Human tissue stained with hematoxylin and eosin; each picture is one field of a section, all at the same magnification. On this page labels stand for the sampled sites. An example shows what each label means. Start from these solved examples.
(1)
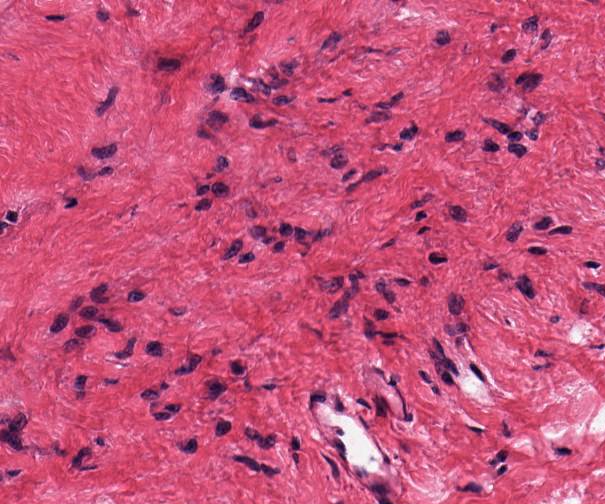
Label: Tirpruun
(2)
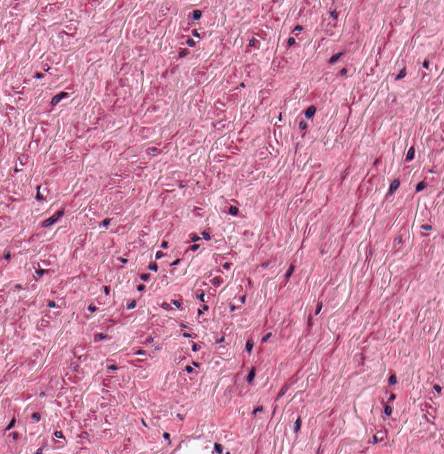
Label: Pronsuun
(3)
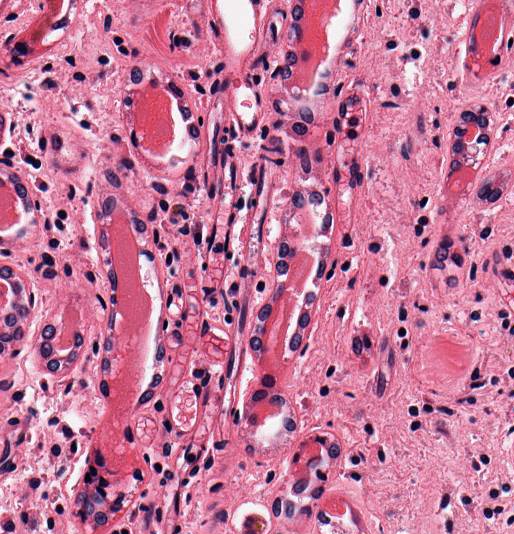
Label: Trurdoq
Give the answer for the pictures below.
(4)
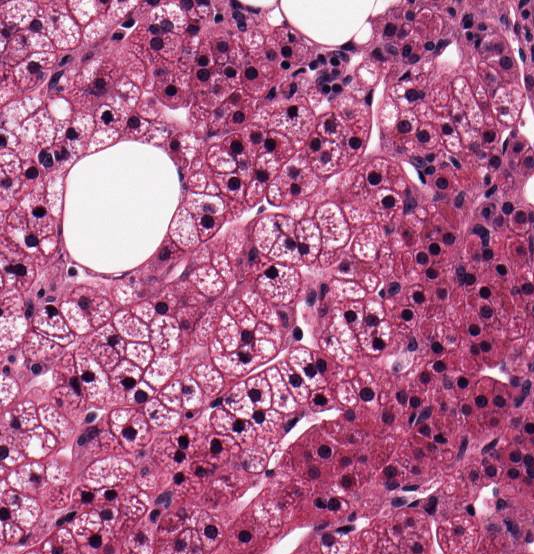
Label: Tirpruun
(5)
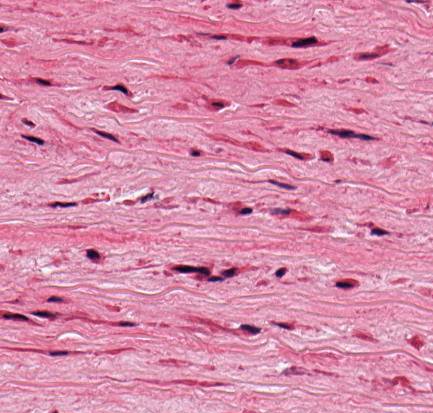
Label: Pronsuun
